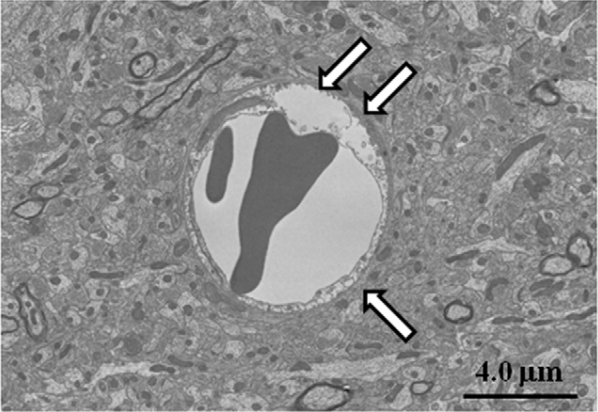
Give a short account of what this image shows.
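The lumen is round and wide, containing one large irregular dark red blood cell and a smaller dark fragment. The vessel wall is a thin rim around the lumen. At the upper right part of the wall, the endothelial lining is ragged, with loose, fragmented pale membranous material lifting away from the wall. The surrounding neuropil is dense and contains numerous small profiles and myelinated axons seen as dark rings.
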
